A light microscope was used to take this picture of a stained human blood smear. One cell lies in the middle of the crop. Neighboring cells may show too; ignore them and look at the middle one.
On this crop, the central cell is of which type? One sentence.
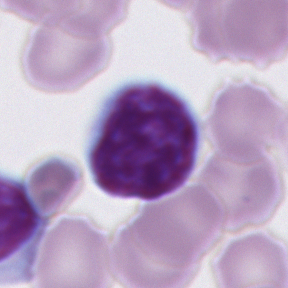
In the centre of this crop there is a typical lymphocyte.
